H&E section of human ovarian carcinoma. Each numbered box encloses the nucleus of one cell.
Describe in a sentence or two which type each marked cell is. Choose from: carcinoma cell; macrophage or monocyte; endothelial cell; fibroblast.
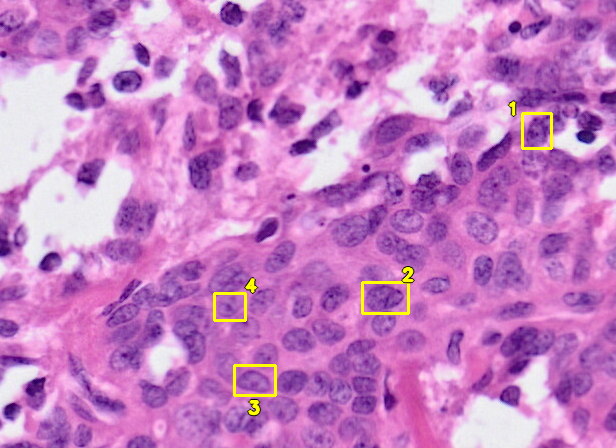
Cell 1 is a macrophage or monocyte, cell 2 is a carcinoma cell, cell 3 is a carcinoma cell and cell 4 is a carcinoma cell.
